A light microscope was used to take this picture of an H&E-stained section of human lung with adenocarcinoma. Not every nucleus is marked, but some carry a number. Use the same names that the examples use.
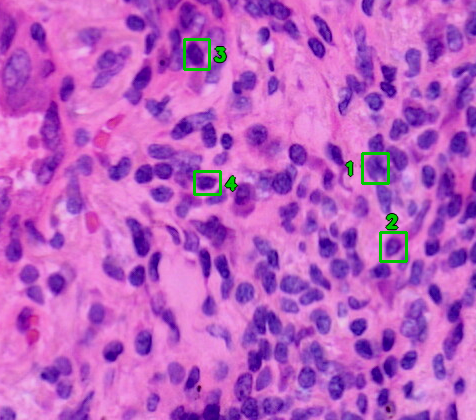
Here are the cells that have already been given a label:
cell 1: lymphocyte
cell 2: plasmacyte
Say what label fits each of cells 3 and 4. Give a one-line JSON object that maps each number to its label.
{"3": "plasmacyte", "4": "lymphocyte"}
